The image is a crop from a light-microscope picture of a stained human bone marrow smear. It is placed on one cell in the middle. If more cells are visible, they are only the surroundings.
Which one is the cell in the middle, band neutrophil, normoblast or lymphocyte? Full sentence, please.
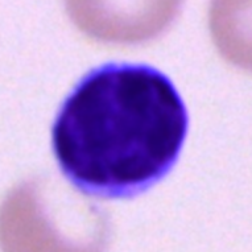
The cell featured at the centre of this crop is a lymphocyte.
